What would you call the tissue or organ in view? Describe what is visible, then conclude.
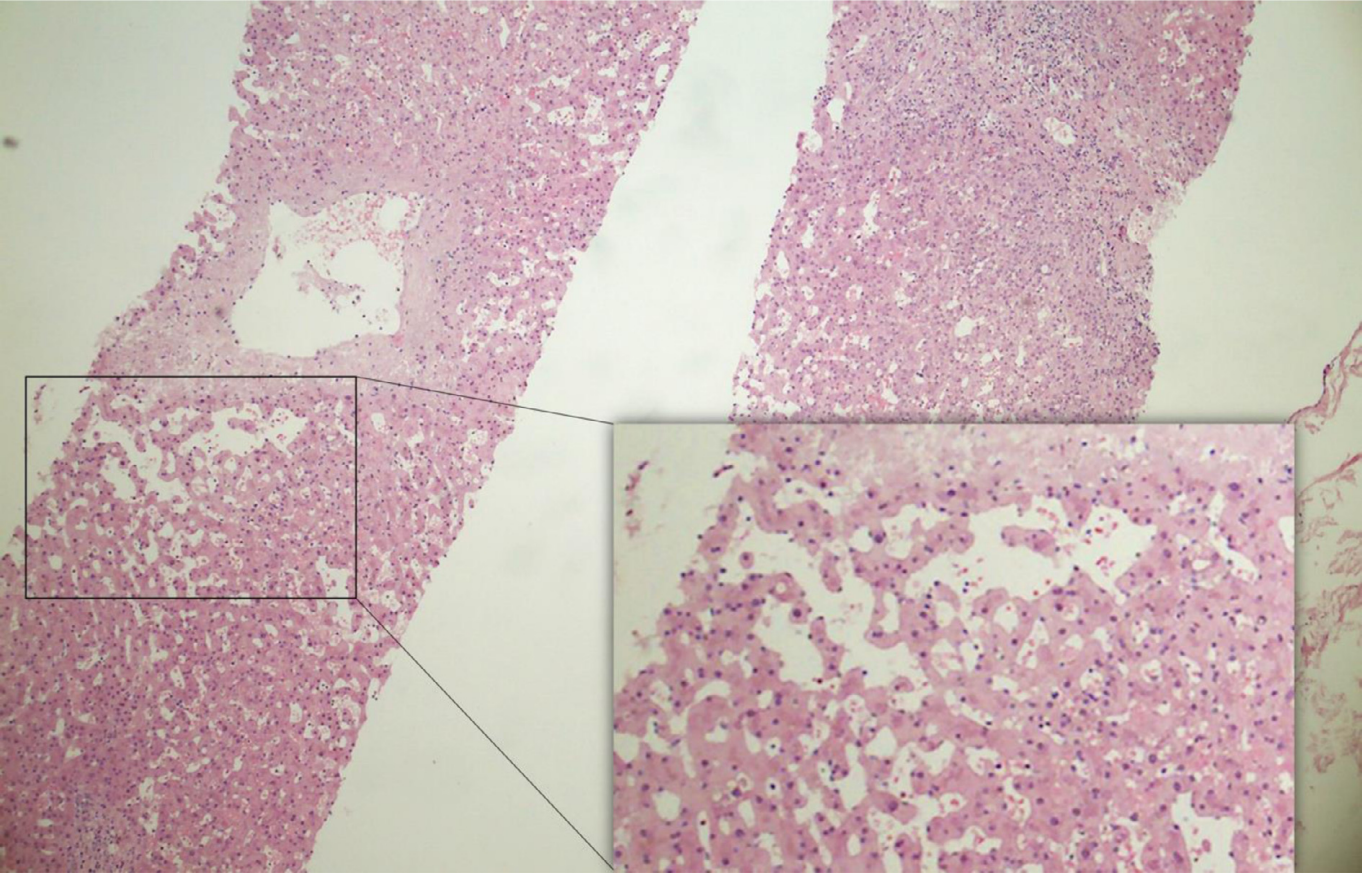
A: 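Two needle-core strips of tissue made of pink polygonal cells arranged in plates. Cells have round central nuclei and abundant eosinophilic cytoplasm. On this evidence: liver.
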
